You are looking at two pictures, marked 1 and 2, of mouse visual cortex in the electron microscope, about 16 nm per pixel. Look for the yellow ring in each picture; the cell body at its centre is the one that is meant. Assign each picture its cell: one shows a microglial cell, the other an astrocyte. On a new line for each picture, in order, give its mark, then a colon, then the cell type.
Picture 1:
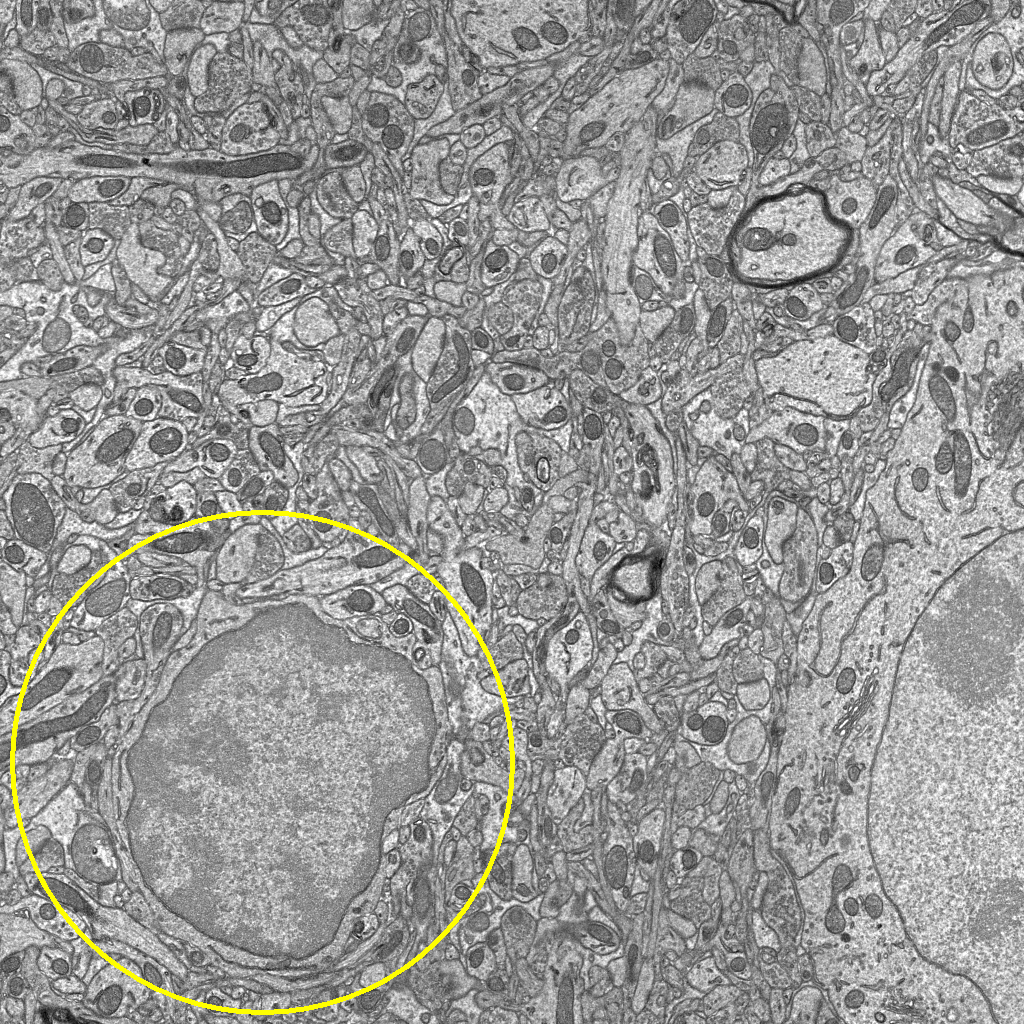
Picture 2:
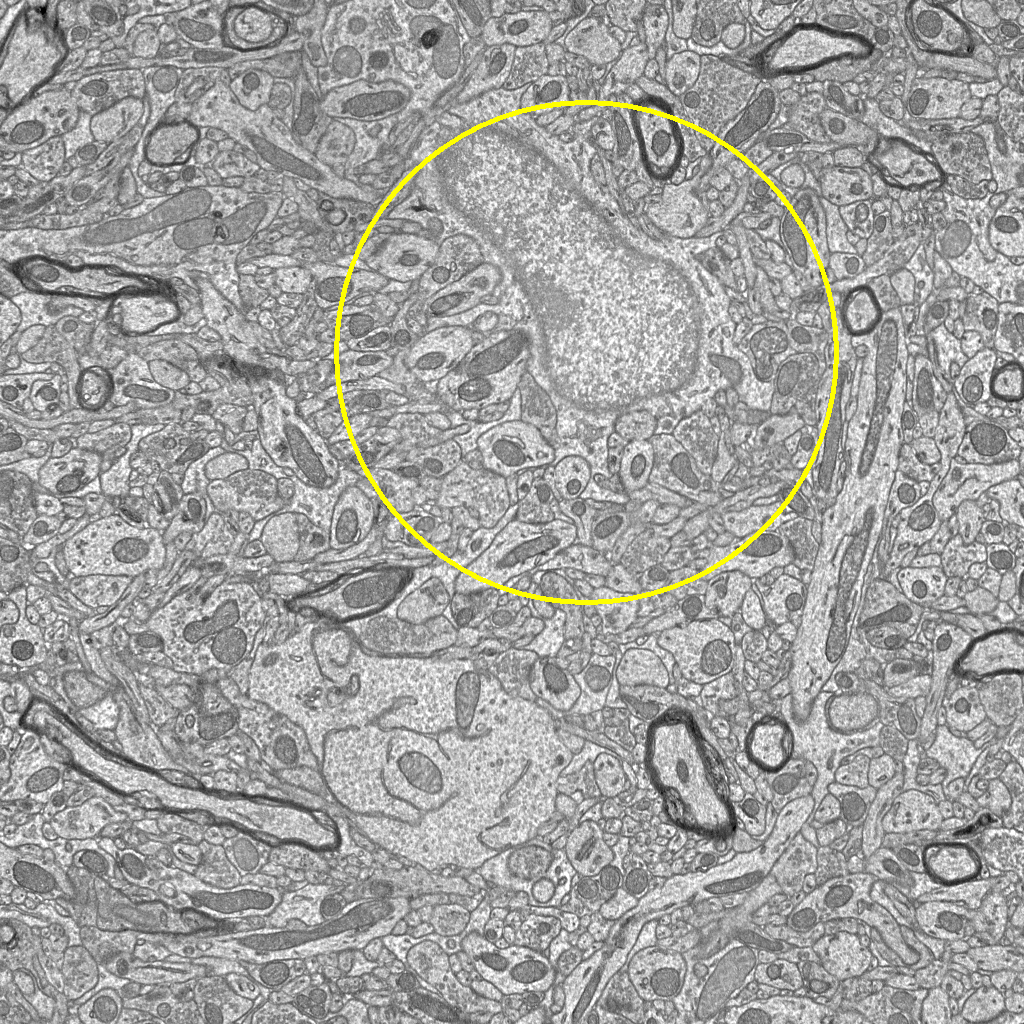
1: microglial cell
2: astrocyte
